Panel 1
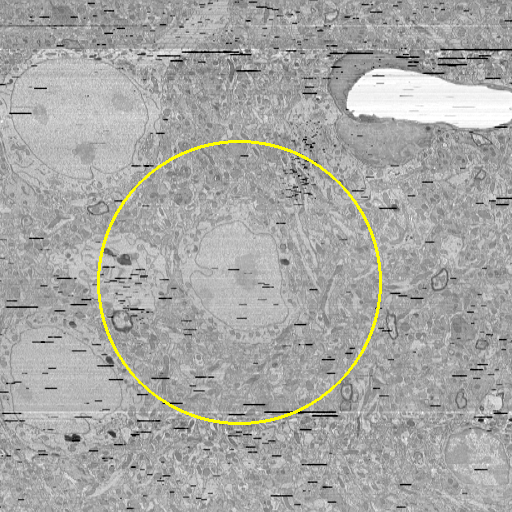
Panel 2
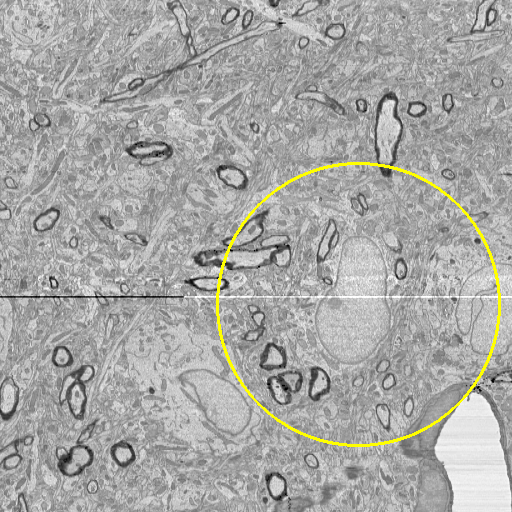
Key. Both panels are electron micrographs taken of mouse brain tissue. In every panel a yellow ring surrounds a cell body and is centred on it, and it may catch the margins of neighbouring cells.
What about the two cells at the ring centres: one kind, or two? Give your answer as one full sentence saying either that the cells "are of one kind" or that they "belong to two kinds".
Across Panels 1 and 2, the two cells at the ring centres belong to two kinds.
